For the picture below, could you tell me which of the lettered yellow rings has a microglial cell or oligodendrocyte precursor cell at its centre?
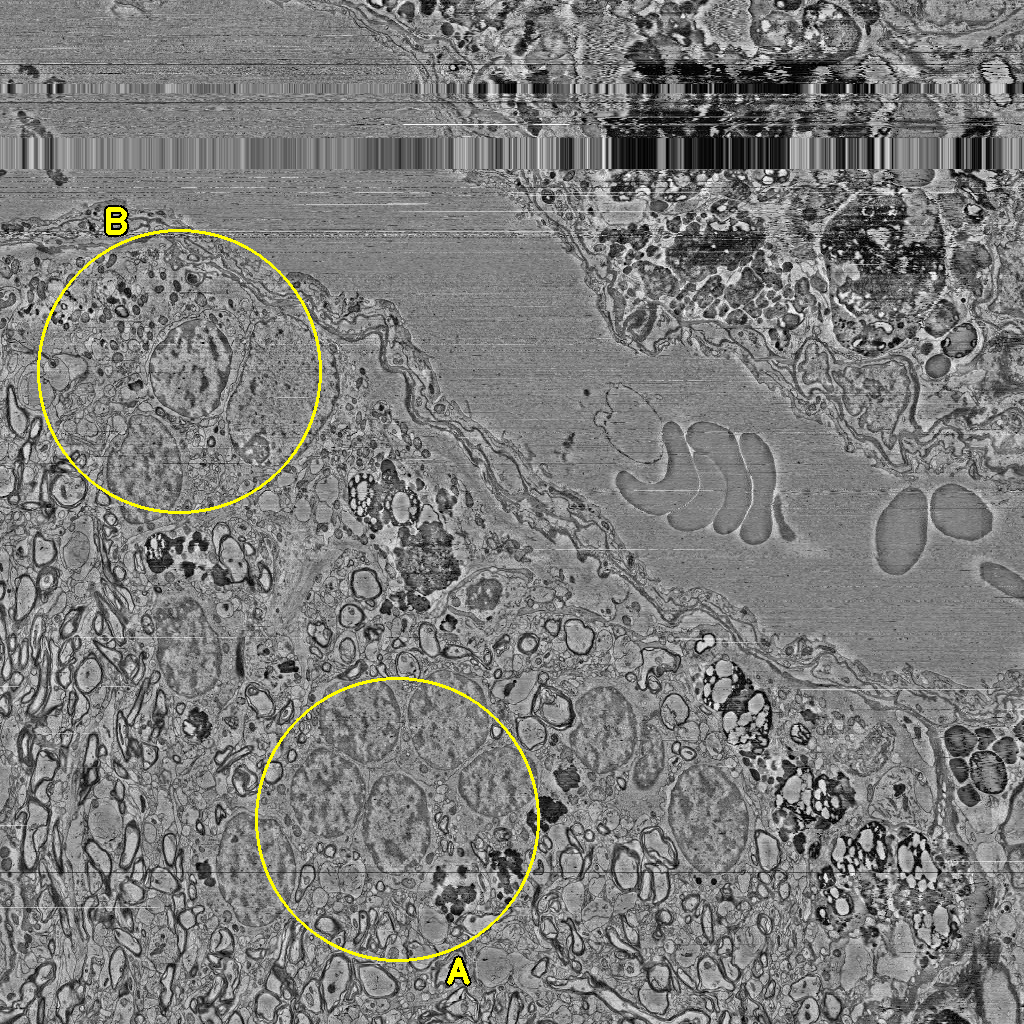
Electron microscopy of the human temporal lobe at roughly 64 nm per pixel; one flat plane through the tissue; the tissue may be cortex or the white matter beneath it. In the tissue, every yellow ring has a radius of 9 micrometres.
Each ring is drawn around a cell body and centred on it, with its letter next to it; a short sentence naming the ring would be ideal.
Ring B is centred on it.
